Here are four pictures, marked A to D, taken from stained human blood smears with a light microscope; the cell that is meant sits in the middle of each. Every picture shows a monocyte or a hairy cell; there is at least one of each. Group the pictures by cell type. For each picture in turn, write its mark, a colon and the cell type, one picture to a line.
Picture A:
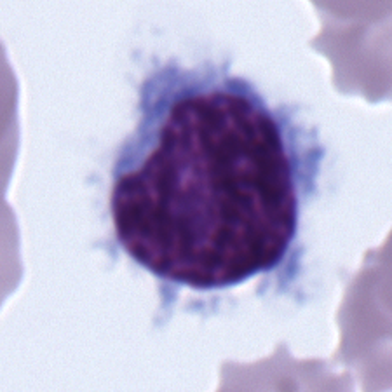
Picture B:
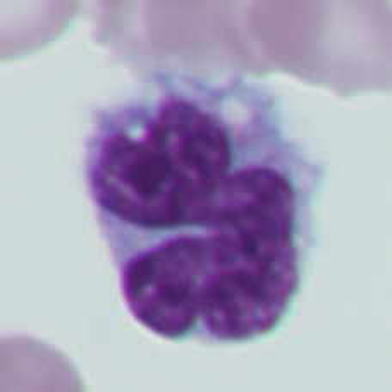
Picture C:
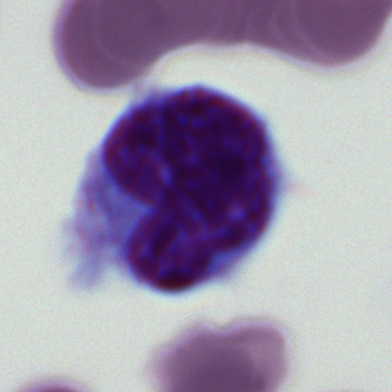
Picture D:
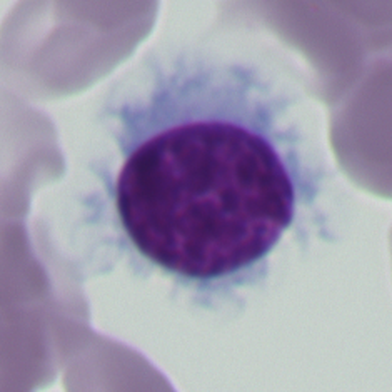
A: hairy cell
B: monocyte
C: monocyte
D: hairy cell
